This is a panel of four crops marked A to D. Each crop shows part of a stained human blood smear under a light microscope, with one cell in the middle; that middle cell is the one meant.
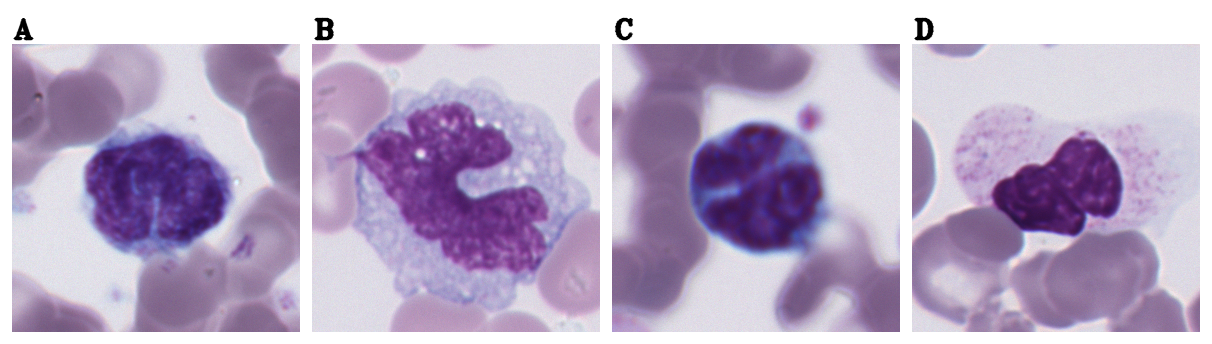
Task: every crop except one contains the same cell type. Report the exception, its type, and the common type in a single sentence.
There is a segmented neutrophil in crop D, while all the other crops show monocytes.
